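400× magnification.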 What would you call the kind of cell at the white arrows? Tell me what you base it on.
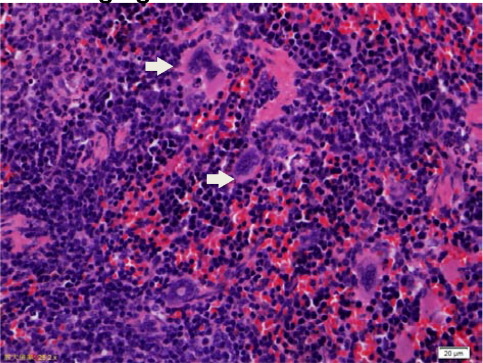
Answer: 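Megakaryocytes. The arrowed cells are much larger than the surrounding lymphoid cells. They have irregular, lobed purple nuclei with pink cytoplasm. Red blood cells fill spaces around them.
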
